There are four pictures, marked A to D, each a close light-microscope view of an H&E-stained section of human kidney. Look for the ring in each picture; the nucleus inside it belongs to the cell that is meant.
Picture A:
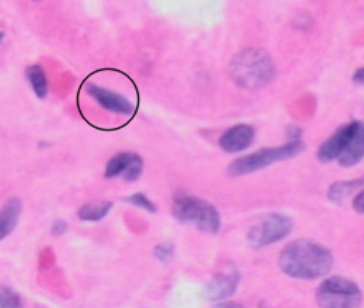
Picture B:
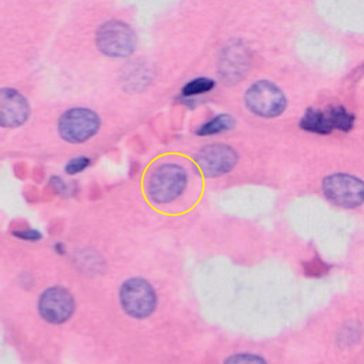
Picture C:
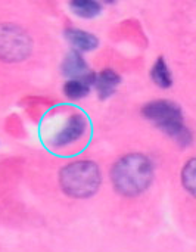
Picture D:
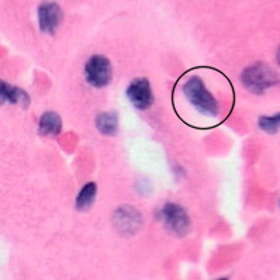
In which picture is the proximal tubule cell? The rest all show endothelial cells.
B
